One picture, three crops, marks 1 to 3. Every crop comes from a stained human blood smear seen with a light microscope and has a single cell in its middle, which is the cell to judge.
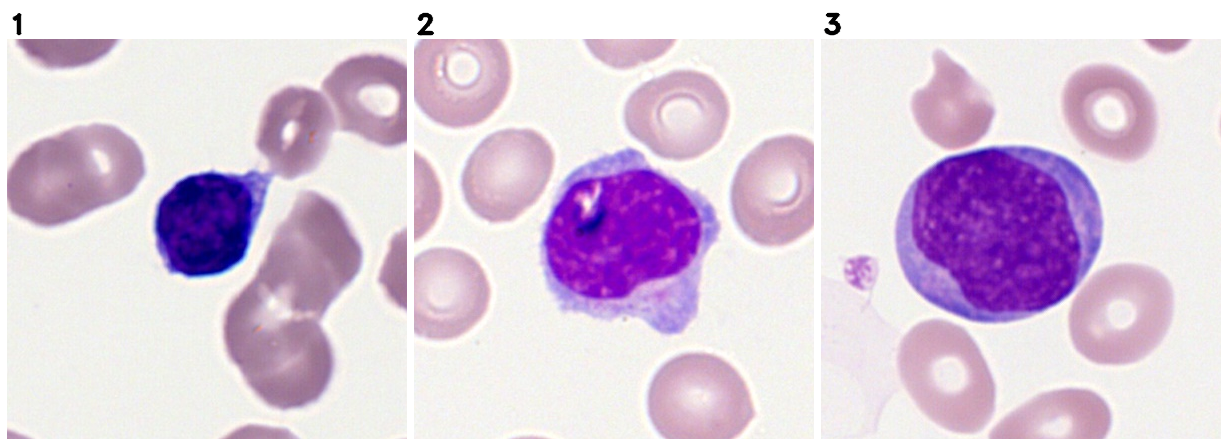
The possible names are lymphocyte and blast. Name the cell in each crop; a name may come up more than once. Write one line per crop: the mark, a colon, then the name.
1: lymphocyte
2: lymphocyte
3: blast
